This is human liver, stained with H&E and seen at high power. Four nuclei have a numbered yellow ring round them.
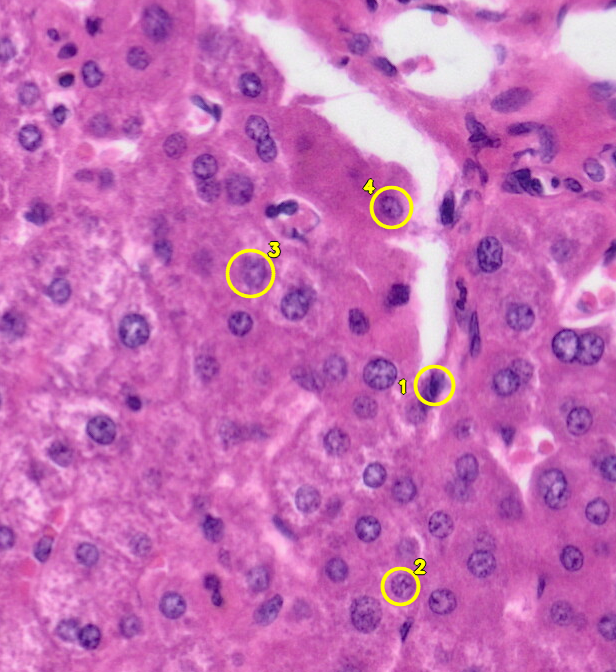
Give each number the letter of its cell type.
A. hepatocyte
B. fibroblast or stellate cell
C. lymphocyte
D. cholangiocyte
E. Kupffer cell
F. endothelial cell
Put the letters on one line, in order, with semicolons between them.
B; A; A; A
